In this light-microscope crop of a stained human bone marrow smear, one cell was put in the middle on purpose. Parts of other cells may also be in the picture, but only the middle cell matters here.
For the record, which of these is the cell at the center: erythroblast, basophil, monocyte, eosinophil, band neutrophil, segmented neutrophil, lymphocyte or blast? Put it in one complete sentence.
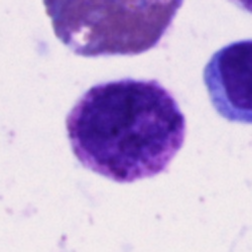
The cell the crop is centered on is a basophil.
